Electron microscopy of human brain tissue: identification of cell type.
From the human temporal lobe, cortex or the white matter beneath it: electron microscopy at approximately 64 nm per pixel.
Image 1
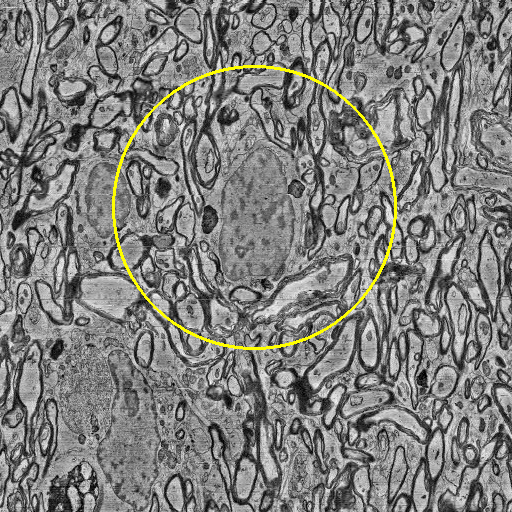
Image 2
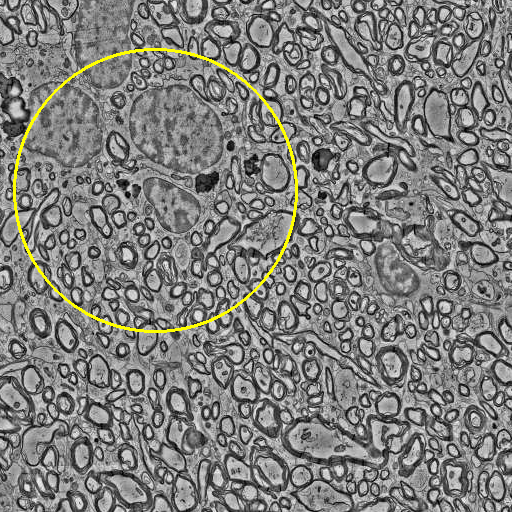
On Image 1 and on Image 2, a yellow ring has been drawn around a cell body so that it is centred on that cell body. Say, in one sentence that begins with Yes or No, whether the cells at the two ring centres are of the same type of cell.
No, the two cells are two separate types of cell.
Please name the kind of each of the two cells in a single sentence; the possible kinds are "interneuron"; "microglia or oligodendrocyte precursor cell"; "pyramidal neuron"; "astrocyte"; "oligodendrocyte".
In the first picture the ring is centred on an oligodendrocyte, and in the second on a microglial cell or oligodendrocyte precursor cell.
